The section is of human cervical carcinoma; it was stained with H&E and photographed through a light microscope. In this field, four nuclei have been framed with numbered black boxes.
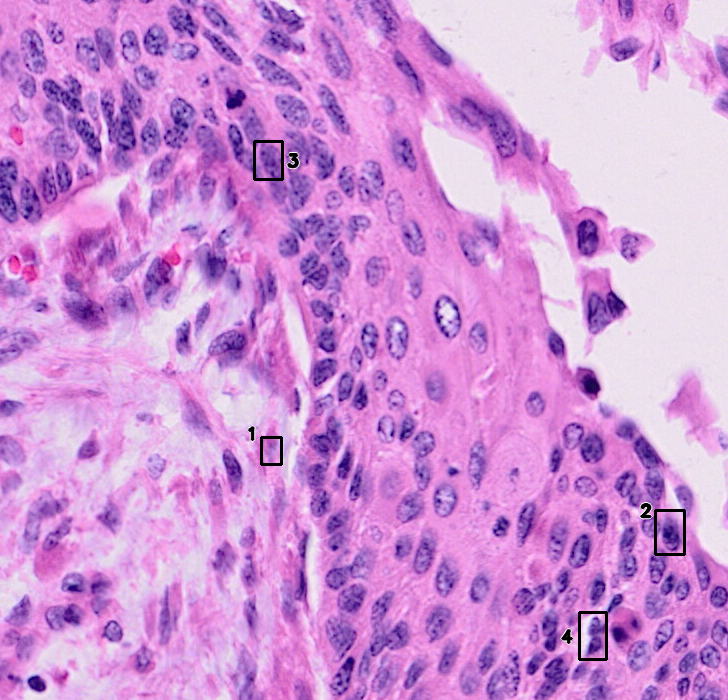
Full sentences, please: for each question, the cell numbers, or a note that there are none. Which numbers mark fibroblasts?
Across all the numbered cells, only number 1 is a fibroblast.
